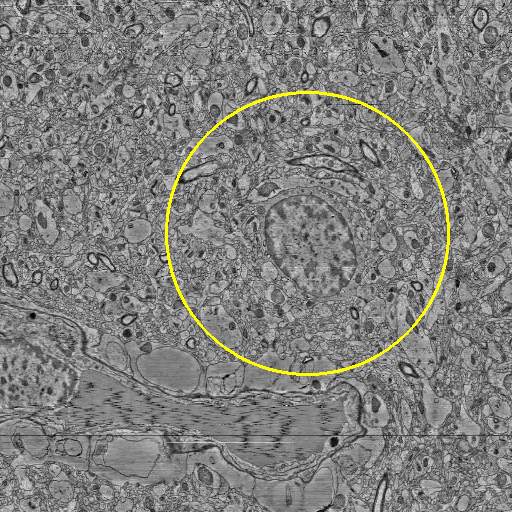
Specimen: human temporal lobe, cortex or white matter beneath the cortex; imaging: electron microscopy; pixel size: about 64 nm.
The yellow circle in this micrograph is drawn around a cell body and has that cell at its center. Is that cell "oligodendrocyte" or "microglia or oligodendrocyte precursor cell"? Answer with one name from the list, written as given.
oligodendrocyte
